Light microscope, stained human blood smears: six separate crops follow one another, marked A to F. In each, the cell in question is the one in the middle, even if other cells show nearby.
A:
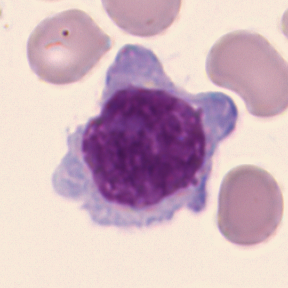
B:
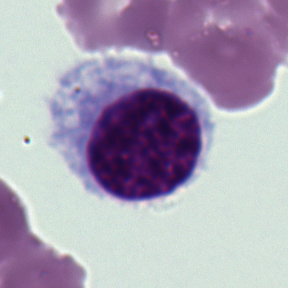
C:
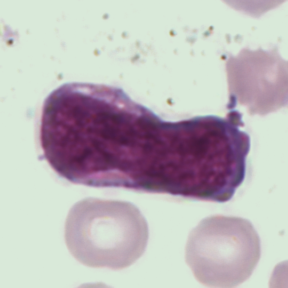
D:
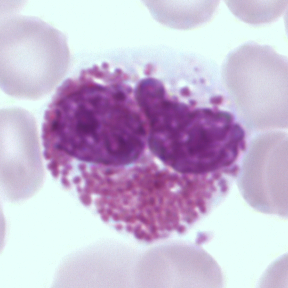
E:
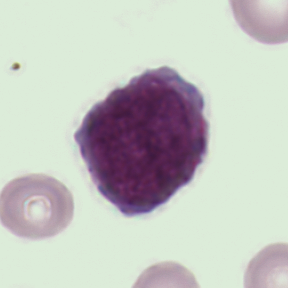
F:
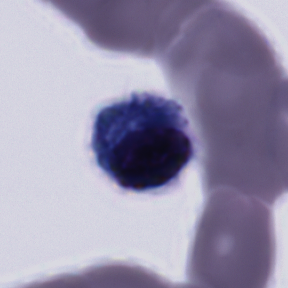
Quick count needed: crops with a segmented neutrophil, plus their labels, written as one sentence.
With segmented neutrophils absent from every crop, the count is zero.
